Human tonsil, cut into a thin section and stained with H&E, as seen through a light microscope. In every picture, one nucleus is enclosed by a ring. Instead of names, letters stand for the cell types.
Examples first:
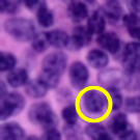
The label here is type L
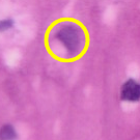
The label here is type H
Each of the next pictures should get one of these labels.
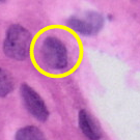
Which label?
type H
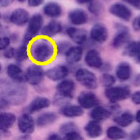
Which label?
type L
